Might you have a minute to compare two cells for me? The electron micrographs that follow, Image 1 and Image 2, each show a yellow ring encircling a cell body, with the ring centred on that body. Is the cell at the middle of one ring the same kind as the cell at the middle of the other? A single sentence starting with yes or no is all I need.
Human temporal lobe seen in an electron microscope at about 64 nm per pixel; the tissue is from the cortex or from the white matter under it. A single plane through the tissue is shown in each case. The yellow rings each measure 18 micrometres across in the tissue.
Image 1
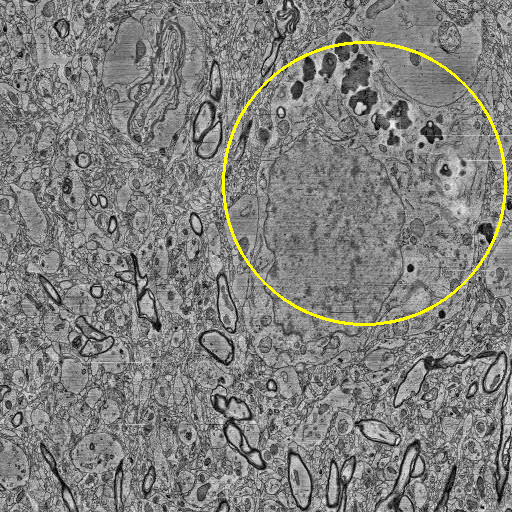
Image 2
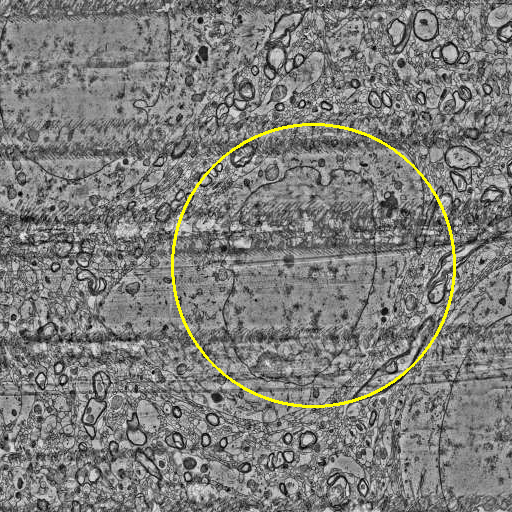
No, the cells in the middle of the two rings are of two separate kinds.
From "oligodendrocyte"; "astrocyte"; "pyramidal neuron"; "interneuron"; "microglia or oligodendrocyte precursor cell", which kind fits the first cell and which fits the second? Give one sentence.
The cell marked in the first picture is an interneuron, and the one marked in the second is a pyramidal neuron.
